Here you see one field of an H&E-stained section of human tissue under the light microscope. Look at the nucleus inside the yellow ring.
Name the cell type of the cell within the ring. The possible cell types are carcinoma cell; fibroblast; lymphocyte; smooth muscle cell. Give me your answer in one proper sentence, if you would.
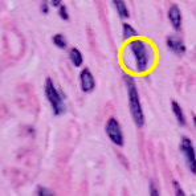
Labelled by cell type, the cell within the ring is a smooth muscle cell.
